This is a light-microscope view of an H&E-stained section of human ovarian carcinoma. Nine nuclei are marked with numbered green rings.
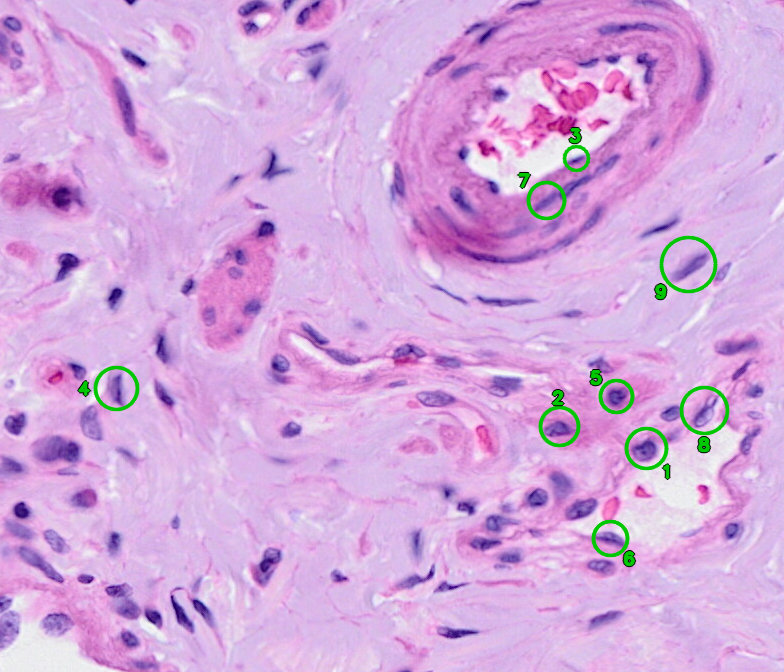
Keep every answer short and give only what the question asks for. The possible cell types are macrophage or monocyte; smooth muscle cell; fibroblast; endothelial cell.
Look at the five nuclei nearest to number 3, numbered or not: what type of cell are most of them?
smooth muscle cell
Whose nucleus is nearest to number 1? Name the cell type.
endothelial cell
